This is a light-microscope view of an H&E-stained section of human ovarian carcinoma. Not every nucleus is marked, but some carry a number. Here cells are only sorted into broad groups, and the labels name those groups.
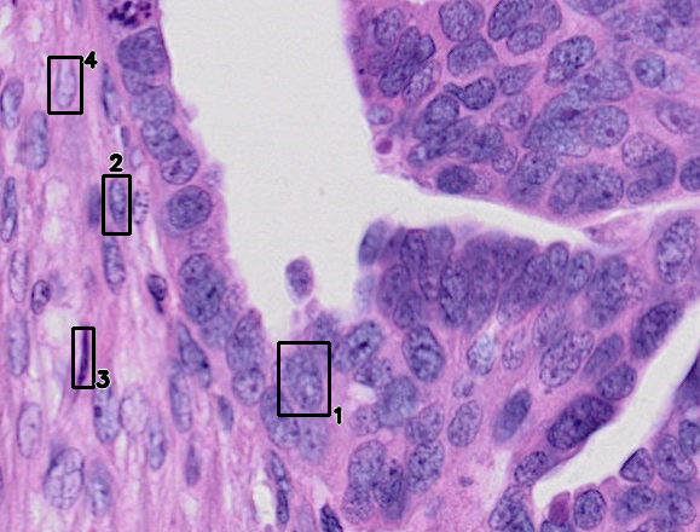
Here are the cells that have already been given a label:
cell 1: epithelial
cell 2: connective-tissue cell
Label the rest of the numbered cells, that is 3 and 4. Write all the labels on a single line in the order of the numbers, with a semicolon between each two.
connective-tissue cell; connective-tissue cell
